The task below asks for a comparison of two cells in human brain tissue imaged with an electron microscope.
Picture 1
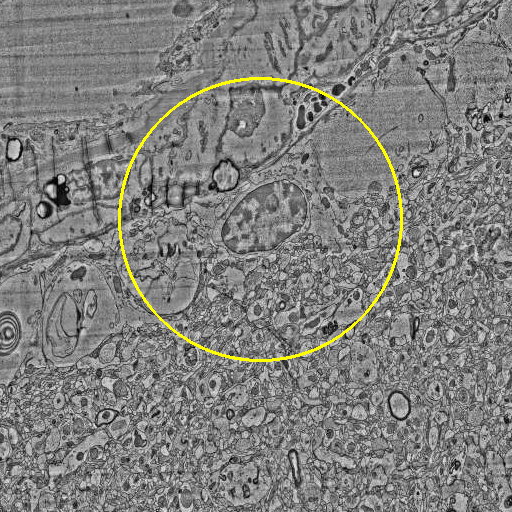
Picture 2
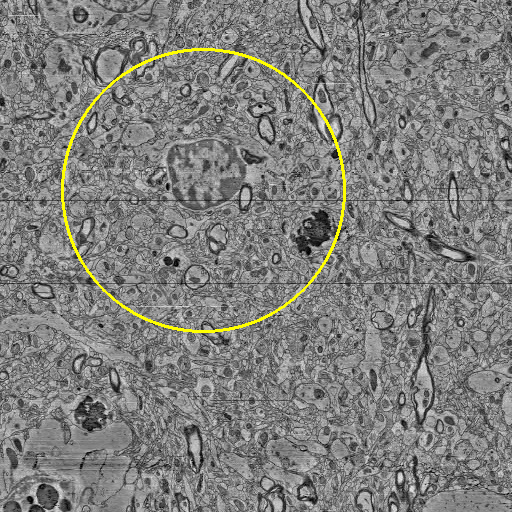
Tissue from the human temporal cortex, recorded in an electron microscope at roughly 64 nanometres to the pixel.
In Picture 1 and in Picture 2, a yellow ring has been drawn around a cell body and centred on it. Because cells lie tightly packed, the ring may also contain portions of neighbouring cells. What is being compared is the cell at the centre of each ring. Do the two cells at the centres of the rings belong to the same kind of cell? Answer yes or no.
yes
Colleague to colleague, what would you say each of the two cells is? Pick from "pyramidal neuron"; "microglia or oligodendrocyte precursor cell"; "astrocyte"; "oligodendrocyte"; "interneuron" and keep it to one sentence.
The ring centre holds a microglial cell or oligodendrocyte precursor cell in each of the two pictures.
